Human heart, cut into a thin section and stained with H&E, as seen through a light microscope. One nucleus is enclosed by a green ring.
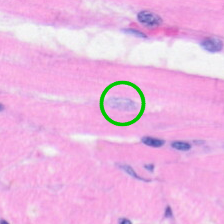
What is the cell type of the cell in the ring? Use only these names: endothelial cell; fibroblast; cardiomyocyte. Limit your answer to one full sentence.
The category to which the cell in the ring belongs is that of a cardiomyocyte.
